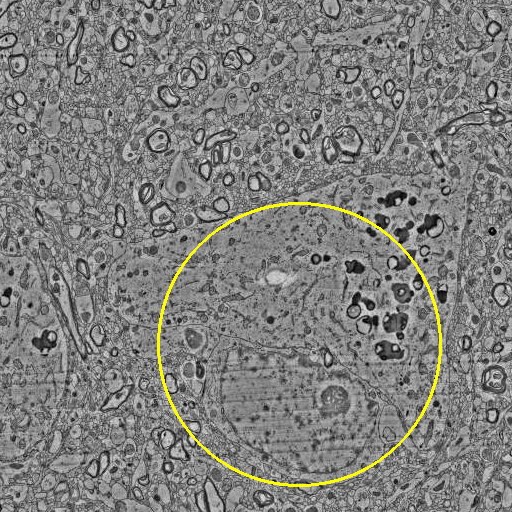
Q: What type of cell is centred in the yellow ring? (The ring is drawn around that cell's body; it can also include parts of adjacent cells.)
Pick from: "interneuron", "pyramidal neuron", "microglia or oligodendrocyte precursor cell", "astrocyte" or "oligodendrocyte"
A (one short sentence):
The yellow ring is centred on an interneuron.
